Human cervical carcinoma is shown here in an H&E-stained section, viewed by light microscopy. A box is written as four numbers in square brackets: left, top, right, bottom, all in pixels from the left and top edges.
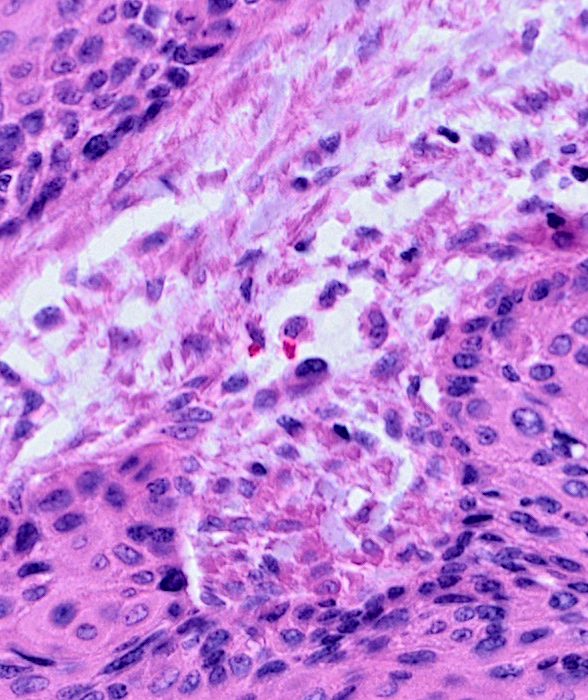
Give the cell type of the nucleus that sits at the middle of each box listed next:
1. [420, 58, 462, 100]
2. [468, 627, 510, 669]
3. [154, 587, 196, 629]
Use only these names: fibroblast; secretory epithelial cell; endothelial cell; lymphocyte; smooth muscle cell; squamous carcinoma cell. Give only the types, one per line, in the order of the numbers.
fibroblast
squamous carcinoma cell
squamous carcinoma cell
